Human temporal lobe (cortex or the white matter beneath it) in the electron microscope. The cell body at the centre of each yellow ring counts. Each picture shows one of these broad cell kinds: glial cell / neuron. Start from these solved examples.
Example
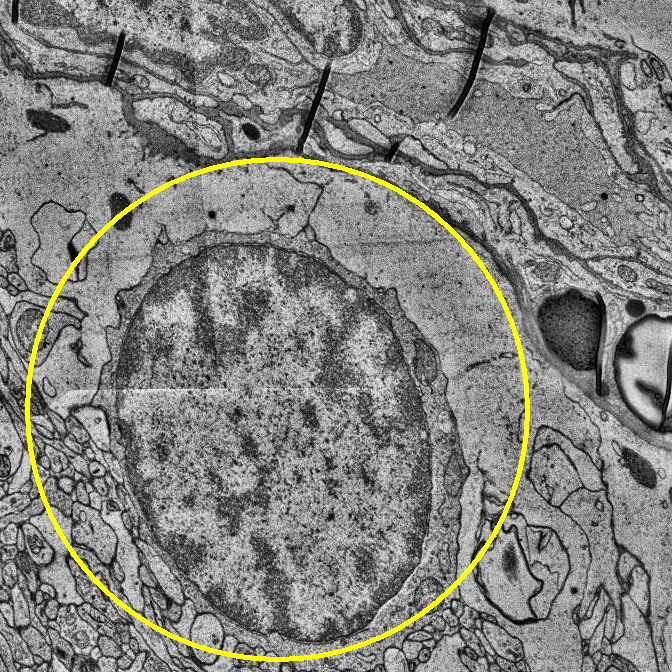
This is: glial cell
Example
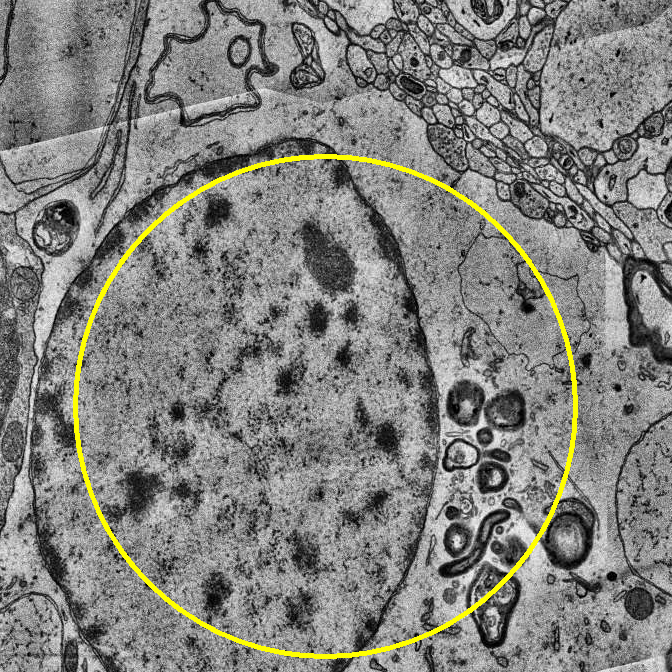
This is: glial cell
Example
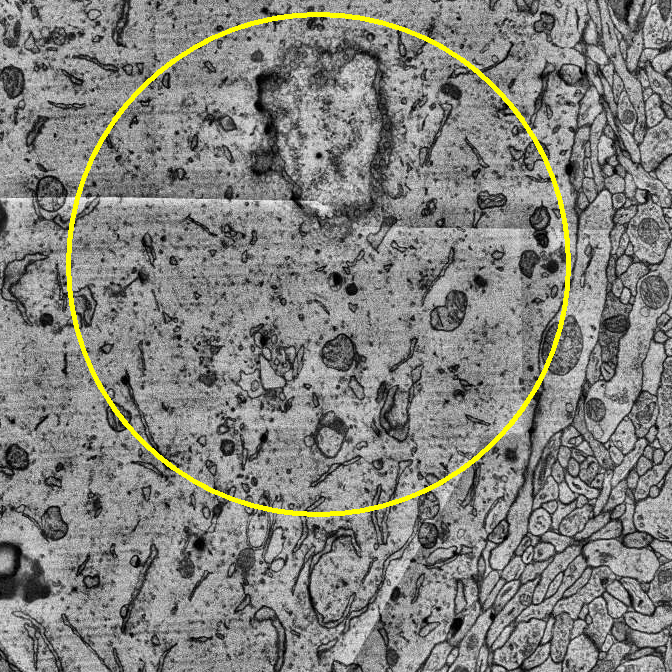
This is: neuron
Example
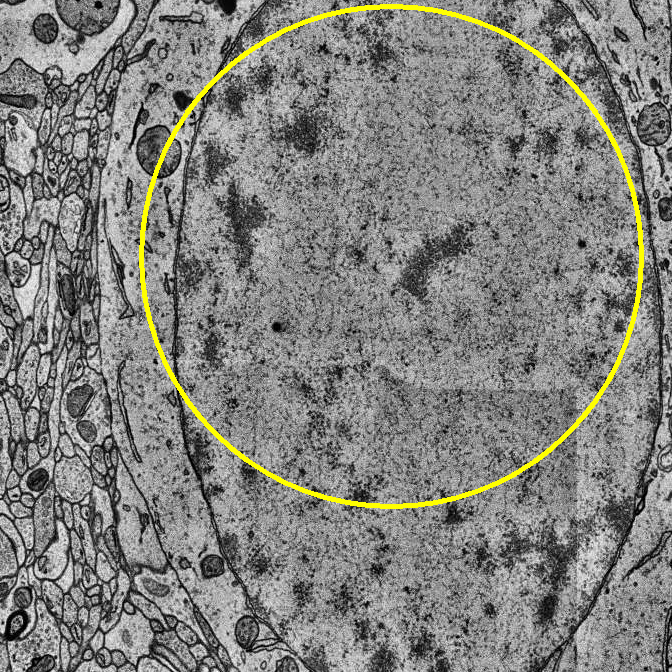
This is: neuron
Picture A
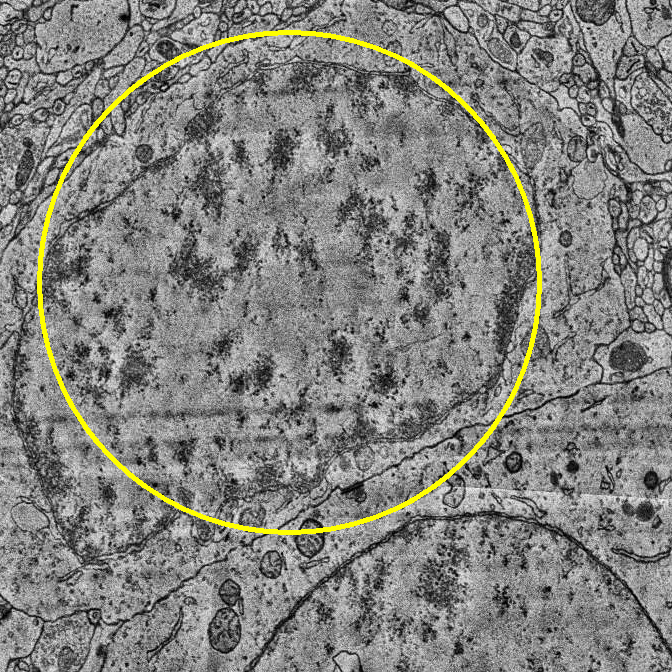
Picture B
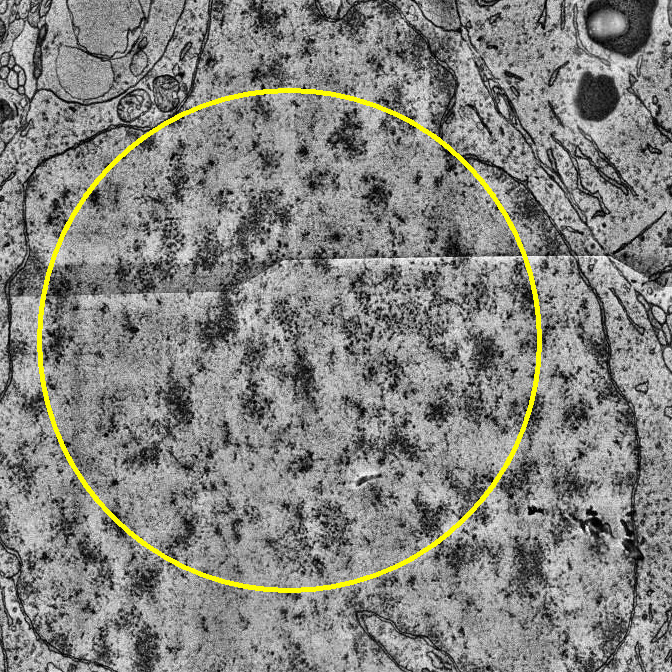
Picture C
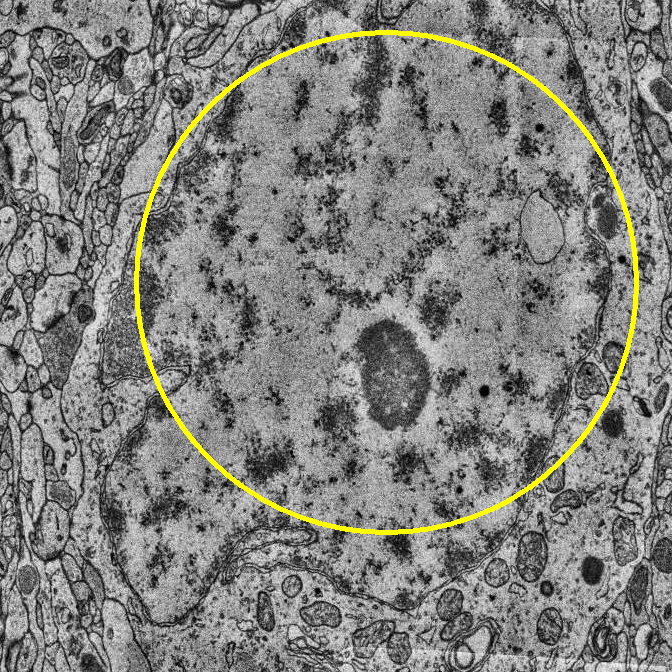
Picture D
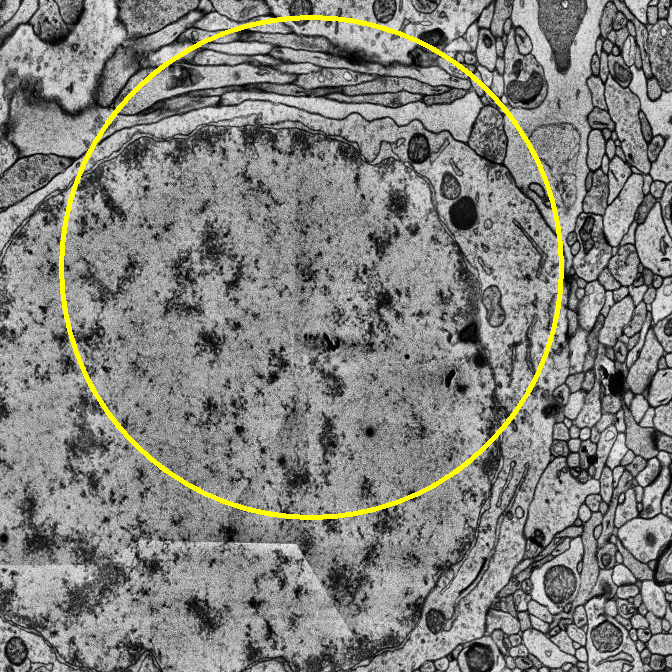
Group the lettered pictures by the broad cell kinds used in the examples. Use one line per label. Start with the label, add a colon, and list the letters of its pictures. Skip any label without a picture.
neuron: A, B, C, D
